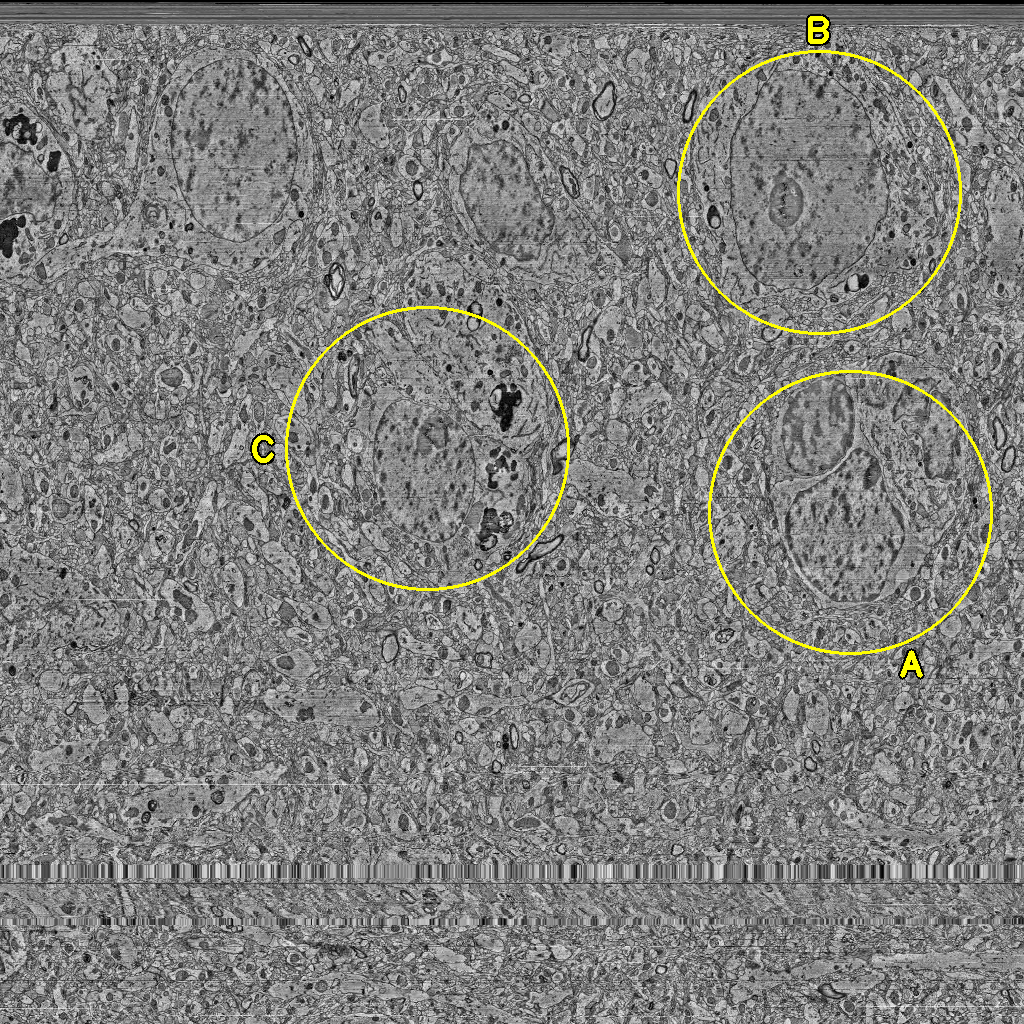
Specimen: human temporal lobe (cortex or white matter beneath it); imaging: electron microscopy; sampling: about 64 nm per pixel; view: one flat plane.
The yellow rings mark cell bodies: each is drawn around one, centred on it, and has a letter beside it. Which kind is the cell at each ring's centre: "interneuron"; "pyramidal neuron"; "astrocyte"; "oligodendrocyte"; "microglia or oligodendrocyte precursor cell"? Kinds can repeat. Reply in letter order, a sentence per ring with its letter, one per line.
At the centre of ring A lies a microglial cell or oligodendrocyte precursor cell.
At the centre of ring B lies a pyramidal neuron.
At the centre of ring C lies an astrocyte.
